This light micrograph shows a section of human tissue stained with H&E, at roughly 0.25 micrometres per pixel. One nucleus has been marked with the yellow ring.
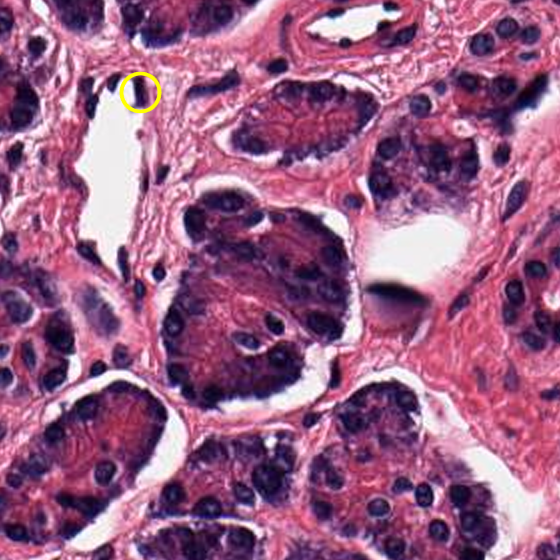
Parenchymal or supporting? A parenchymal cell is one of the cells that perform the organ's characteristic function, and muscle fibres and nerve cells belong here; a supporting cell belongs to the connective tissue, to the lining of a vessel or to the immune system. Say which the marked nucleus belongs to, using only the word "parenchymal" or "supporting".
supporting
